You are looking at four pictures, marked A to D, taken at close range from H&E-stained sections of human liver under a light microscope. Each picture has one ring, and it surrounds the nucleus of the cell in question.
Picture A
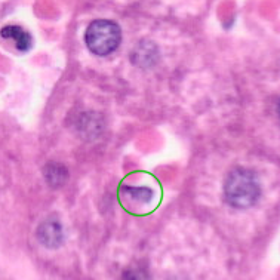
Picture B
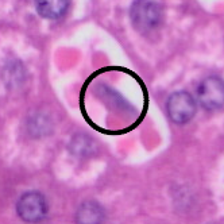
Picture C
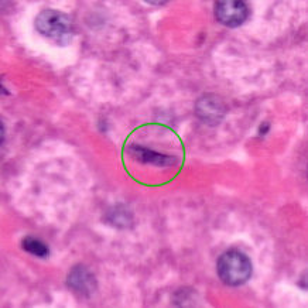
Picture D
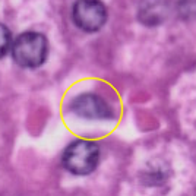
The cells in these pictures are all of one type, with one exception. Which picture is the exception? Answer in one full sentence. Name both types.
Picture A differs, because its cell is an endothelial cell and the rest are Kupffer cells.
